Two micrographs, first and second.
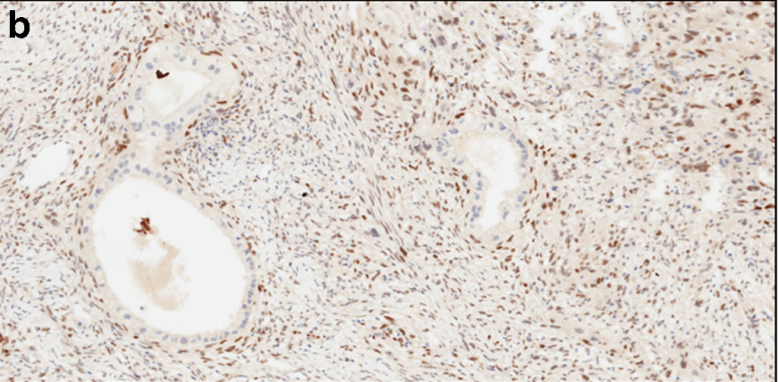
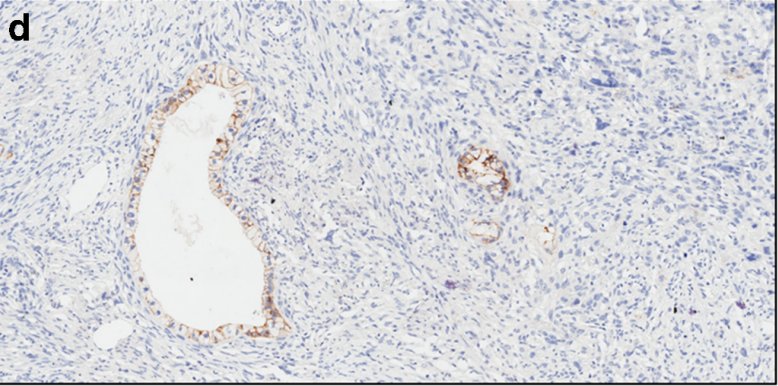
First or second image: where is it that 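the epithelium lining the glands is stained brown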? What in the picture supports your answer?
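First image: the gland epithelium has pale blue nuclei while brown nuclei lie in the surrounding cells. Second image: the gland epithelium has brown membranes while the surrounding cells are blue.
Answer: the second image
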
